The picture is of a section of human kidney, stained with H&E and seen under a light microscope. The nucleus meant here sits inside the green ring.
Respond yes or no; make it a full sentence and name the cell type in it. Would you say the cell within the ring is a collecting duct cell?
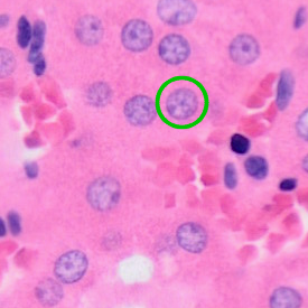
No, the right answer is that the cell within the ring is a proximal tubule cell, not a collecting duct cell.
